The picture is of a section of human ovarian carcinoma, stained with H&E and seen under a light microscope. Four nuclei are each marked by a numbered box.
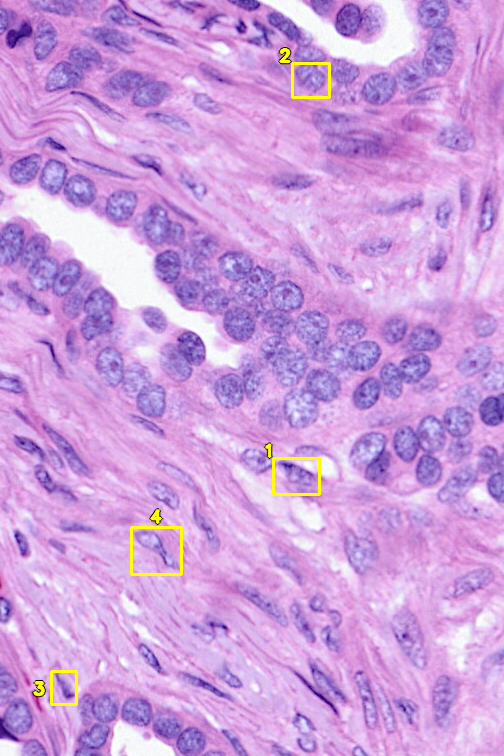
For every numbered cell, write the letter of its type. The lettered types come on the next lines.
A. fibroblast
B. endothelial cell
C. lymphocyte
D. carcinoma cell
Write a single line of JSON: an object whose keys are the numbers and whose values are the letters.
{"1": "A", "2": "D", "3": "A", "4": "A"}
